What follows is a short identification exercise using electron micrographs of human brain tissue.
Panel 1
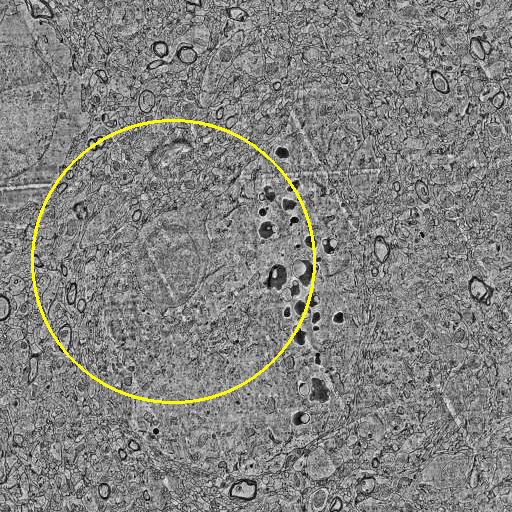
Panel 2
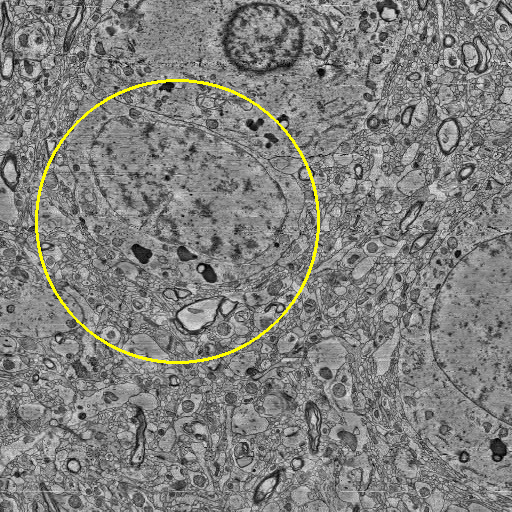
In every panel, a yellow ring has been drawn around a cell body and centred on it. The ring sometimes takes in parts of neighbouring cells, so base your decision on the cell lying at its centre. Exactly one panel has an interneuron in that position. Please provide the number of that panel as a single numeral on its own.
2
